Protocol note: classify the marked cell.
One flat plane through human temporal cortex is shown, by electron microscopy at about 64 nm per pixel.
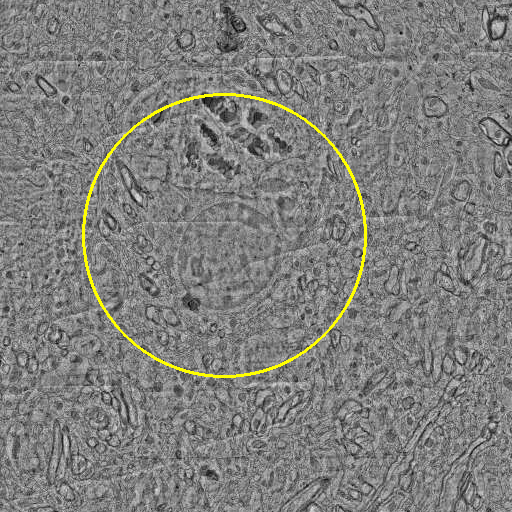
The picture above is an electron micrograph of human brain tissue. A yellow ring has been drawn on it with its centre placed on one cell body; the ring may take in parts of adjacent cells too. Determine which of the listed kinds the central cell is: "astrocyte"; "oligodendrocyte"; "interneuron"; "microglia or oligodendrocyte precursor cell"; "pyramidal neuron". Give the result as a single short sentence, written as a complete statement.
The central cell is an oligodendrocyte.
